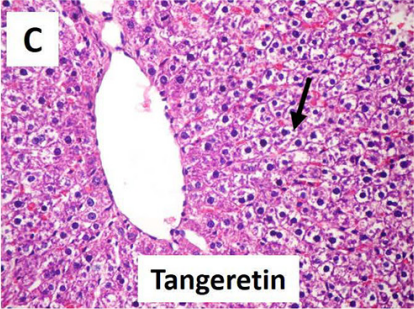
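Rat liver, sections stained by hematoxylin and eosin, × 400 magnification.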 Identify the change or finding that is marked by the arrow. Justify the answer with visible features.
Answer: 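Many liver cells have pale, clear, swollen-looking cytoplasm. Nuclei remain central in the cleared cells. That points to this answer: hydropic degeneration of hepatocytes.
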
